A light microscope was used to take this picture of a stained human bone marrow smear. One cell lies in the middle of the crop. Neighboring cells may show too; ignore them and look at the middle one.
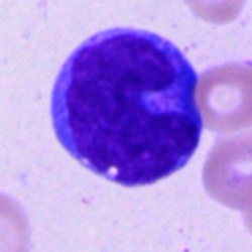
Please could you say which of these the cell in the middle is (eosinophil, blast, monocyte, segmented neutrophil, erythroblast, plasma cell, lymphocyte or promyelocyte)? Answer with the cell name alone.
monocyte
